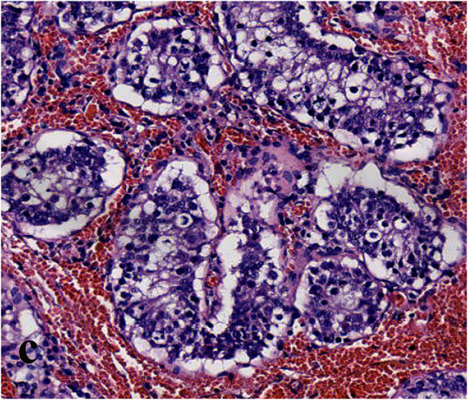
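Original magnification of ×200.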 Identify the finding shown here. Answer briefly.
Extensive interstitial hemorrhage.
